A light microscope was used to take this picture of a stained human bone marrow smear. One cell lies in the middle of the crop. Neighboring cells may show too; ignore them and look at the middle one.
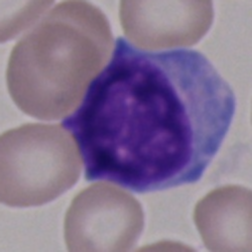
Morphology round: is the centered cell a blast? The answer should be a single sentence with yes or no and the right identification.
Yes, the cell at the centre is designated a blast.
